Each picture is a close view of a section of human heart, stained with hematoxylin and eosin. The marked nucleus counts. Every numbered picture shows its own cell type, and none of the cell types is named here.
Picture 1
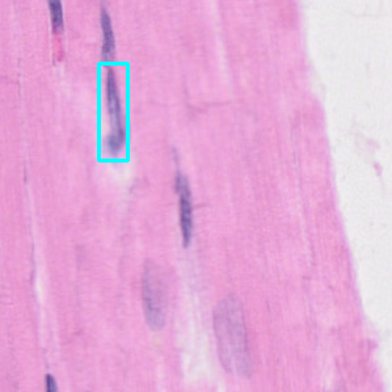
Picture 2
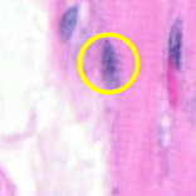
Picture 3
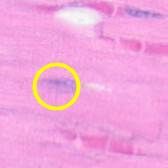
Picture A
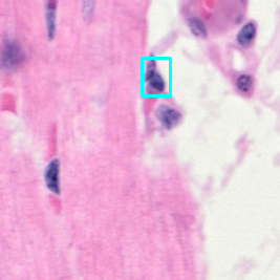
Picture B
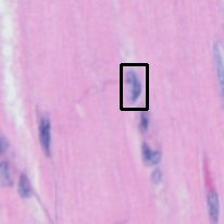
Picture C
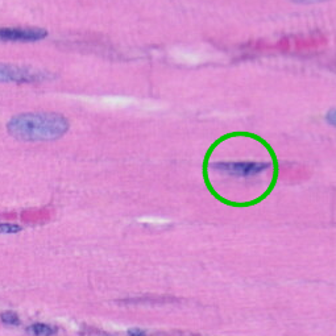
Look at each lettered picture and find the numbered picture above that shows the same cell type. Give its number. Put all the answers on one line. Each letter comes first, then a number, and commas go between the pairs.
A 2, B 2, C 1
